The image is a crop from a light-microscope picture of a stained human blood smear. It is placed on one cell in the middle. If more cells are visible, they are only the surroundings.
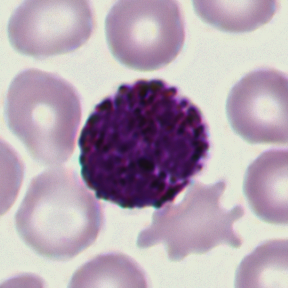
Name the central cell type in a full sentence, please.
The cell around which this crop is centred is a basophil.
